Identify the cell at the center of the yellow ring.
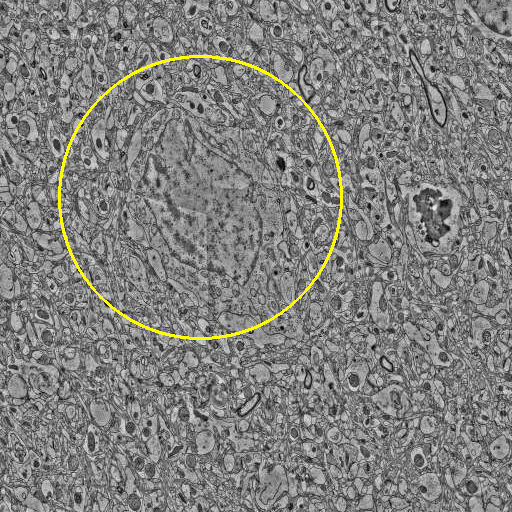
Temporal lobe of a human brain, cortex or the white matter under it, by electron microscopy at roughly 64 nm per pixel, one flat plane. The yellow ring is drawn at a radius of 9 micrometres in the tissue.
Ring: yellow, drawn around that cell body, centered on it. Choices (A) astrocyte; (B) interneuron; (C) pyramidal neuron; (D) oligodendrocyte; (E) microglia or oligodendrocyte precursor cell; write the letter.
B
